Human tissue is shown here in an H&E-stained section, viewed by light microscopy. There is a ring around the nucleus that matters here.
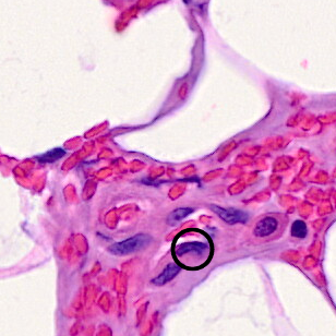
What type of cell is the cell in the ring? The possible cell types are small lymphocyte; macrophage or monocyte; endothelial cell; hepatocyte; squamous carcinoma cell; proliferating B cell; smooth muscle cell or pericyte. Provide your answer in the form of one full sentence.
In the tissue at hand, the cell in the ring is an endothelial cell.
